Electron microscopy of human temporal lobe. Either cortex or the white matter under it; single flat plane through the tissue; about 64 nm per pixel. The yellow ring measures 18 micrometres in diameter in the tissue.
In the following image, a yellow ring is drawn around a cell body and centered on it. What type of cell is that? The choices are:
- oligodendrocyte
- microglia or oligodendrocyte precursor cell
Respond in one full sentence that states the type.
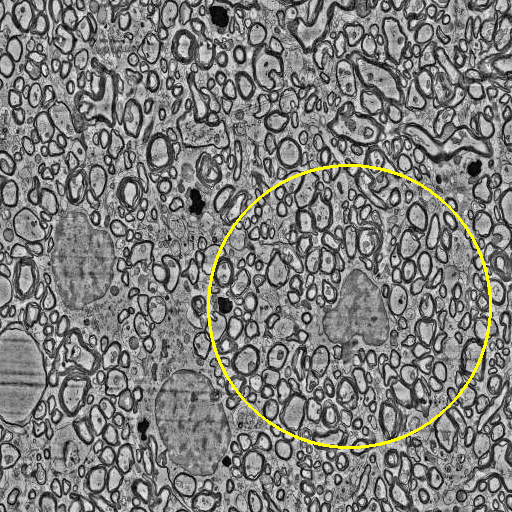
The cell at the center of the yellow ring in the image is an oligodendrocyte.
